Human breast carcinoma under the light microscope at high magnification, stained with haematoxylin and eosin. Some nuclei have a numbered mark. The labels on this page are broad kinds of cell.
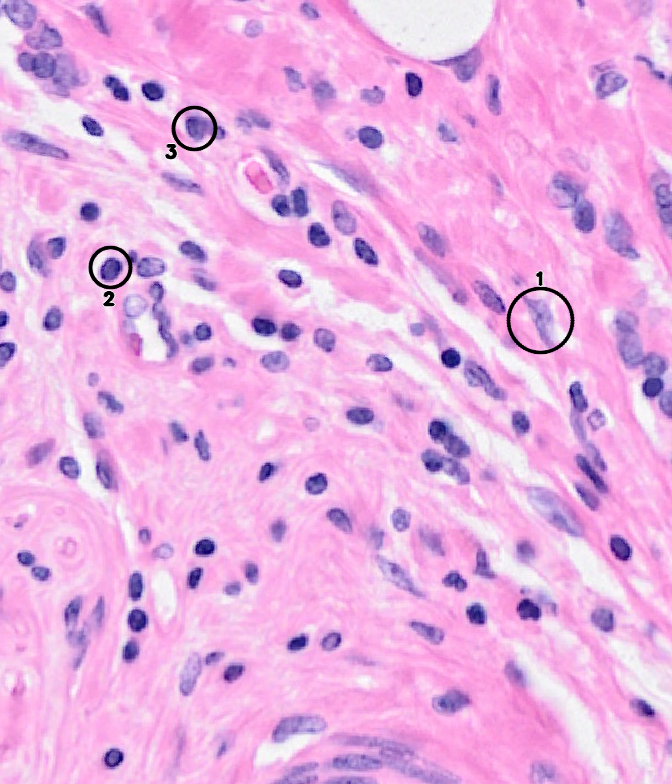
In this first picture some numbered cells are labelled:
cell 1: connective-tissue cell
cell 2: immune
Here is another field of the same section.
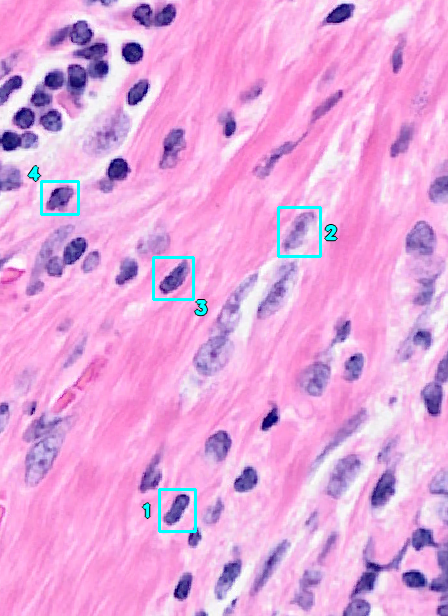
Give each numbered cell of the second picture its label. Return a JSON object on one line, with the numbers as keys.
{"1": "immune", "2": "connective-tissue cell", "3": "immune", "4": "immune"}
